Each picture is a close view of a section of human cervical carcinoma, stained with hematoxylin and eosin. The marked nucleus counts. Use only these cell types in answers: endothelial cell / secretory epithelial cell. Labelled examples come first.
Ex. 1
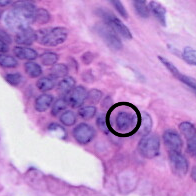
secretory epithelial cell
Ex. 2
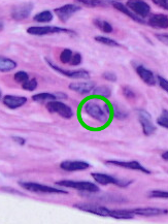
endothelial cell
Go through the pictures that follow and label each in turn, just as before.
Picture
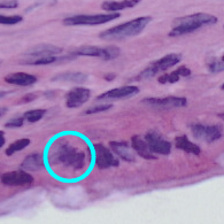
secretory epithelial cell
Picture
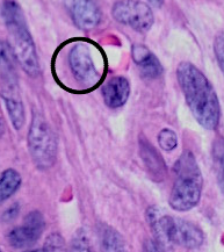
endothelial cell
